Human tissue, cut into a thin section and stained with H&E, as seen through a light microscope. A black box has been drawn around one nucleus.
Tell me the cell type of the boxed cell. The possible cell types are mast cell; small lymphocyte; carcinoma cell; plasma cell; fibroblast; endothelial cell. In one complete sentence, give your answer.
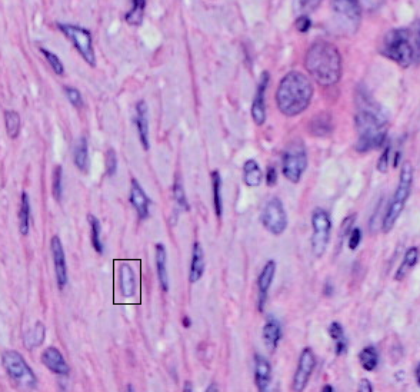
In the stained section, the boxed cell is a fibroblast.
